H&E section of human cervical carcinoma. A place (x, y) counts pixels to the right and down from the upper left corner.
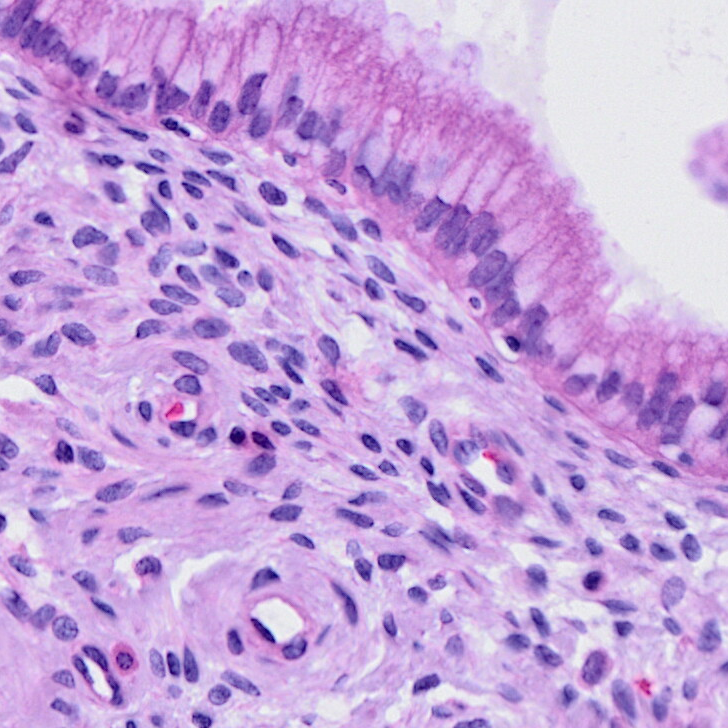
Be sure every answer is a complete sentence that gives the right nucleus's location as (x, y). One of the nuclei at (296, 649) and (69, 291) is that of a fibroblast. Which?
Belonging to a fibroblast is the nucleus at (69, 291).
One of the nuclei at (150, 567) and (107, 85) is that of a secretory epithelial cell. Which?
The one belonging to a secretory epithelial cell is the nucleus at (107, 85), not the other.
